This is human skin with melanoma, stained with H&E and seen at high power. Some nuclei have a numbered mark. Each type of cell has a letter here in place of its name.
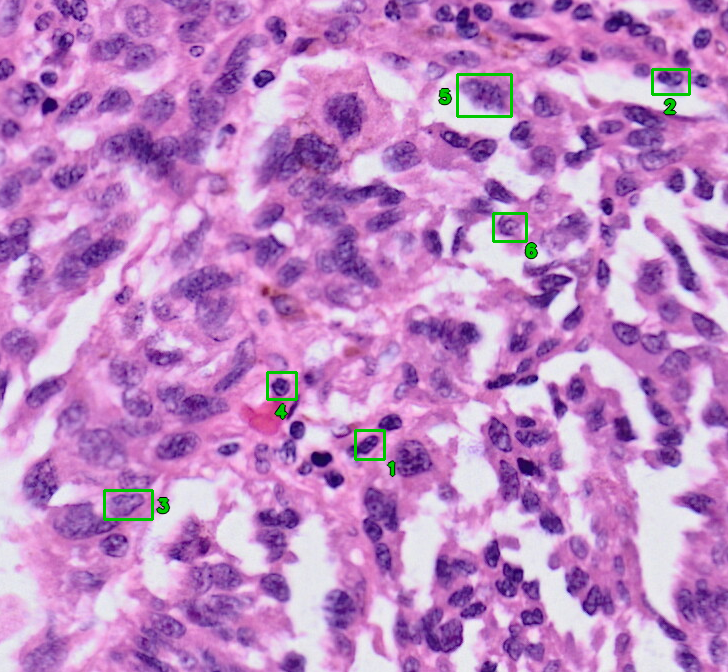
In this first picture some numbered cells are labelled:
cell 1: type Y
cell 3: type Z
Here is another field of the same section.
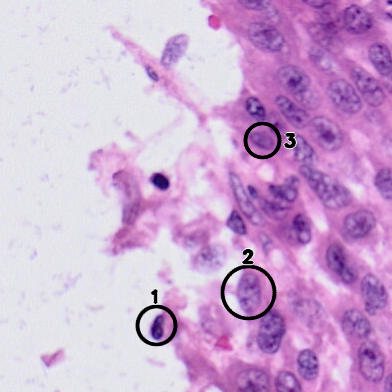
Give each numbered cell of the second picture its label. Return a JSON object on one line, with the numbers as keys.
{"1": "type Y", "2": "type Z", "3": "type Z"}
